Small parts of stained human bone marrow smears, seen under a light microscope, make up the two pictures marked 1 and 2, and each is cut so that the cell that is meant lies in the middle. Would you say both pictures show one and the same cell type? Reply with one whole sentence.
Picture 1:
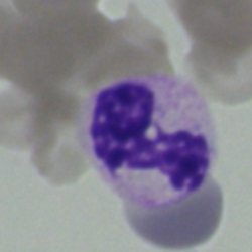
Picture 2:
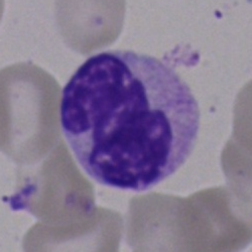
Yes, both cells are segmented neutrophils.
